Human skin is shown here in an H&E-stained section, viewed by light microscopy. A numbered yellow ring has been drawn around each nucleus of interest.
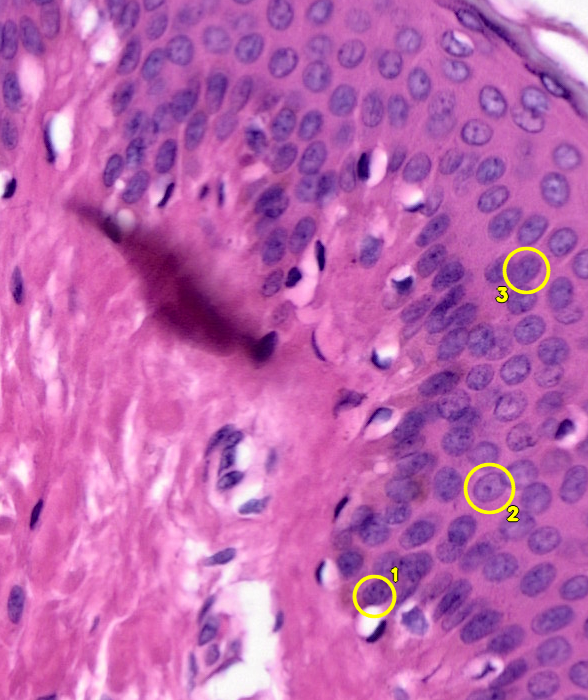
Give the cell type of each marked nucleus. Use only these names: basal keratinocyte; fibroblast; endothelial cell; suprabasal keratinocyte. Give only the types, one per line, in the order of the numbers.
basal keratinocyte
suprabasal keratinocyte
suprabasal keratinocyte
